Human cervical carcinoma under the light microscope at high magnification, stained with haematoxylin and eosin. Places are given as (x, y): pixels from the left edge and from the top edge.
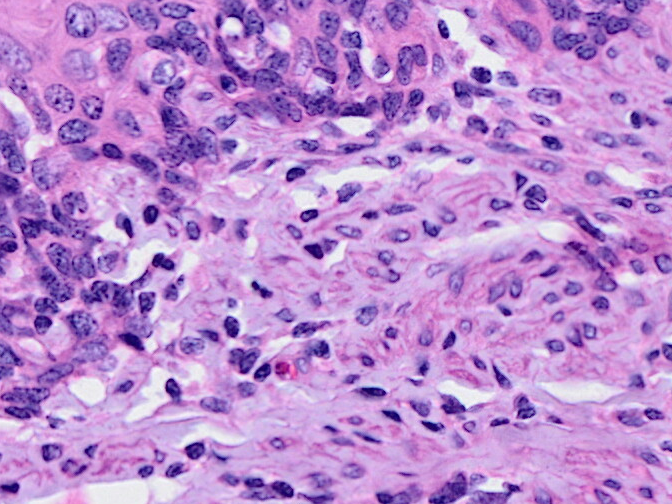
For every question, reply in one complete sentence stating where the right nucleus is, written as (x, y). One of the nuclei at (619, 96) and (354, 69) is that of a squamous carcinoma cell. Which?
The nucleus of a squamous carcinoma cell is the one at (354, 69).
